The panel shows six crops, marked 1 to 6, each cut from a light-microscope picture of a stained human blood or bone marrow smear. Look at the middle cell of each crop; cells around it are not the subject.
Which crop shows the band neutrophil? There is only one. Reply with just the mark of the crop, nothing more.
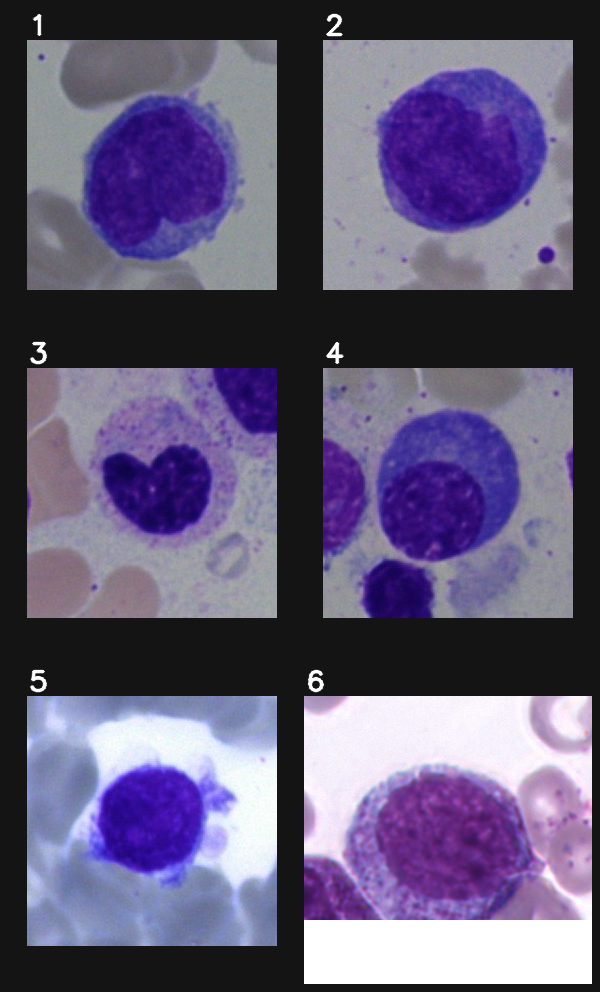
3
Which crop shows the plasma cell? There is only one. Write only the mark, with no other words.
4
